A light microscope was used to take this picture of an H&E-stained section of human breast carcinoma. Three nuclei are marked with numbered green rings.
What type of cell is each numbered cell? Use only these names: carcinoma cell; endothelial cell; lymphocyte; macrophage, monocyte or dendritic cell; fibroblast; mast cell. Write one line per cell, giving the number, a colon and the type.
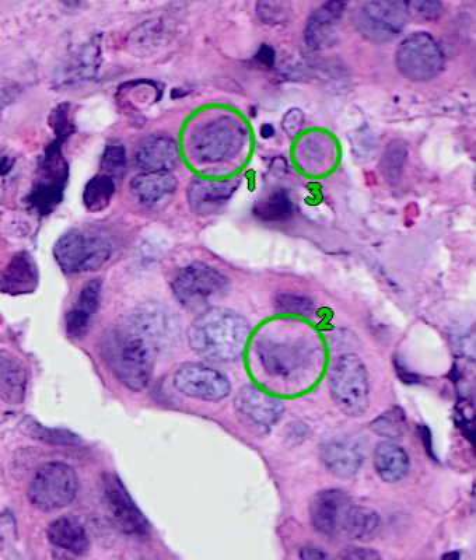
1: carcinoma cell
2: carcinoma cell
3: endothelial cell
